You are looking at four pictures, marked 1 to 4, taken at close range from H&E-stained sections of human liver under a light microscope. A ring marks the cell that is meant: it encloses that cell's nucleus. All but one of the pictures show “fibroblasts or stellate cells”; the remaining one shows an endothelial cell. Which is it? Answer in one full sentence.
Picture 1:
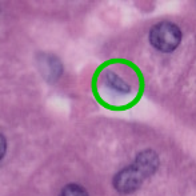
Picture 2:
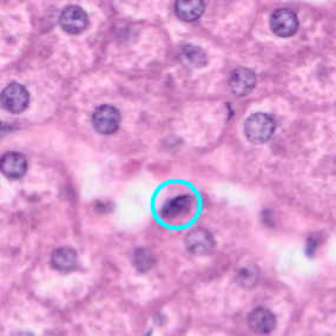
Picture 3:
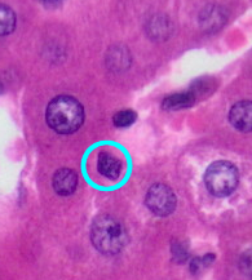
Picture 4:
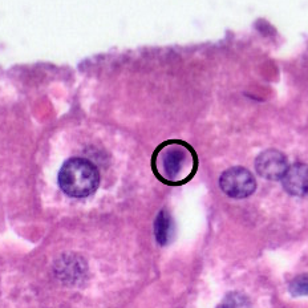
It is picture 1 that shows the endothelial cell.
